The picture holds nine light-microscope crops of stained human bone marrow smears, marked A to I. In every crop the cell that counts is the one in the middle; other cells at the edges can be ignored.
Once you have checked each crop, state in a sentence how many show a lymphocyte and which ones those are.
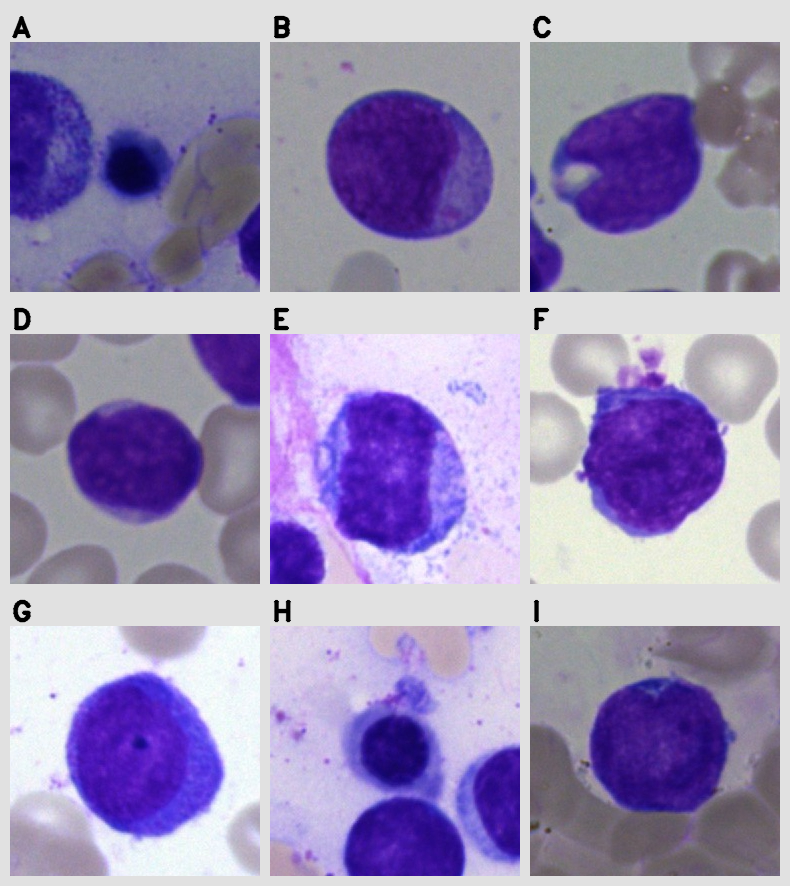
The tally of lymphocytes stands at zero, none being shown in any crop.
